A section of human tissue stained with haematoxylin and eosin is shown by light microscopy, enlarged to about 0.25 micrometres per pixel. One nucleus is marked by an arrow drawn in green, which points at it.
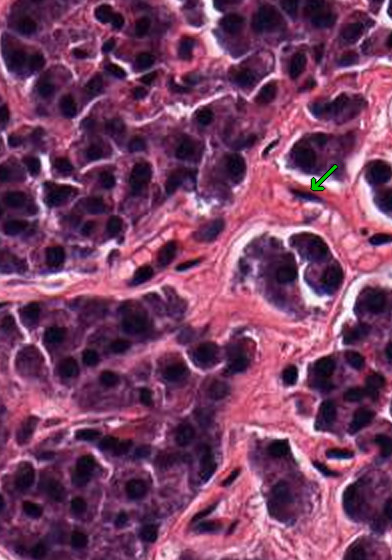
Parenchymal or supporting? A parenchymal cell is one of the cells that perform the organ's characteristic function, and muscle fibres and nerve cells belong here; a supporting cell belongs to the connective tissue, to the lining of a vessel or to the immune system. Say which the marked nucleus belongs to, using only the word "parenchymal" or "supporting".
supporting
